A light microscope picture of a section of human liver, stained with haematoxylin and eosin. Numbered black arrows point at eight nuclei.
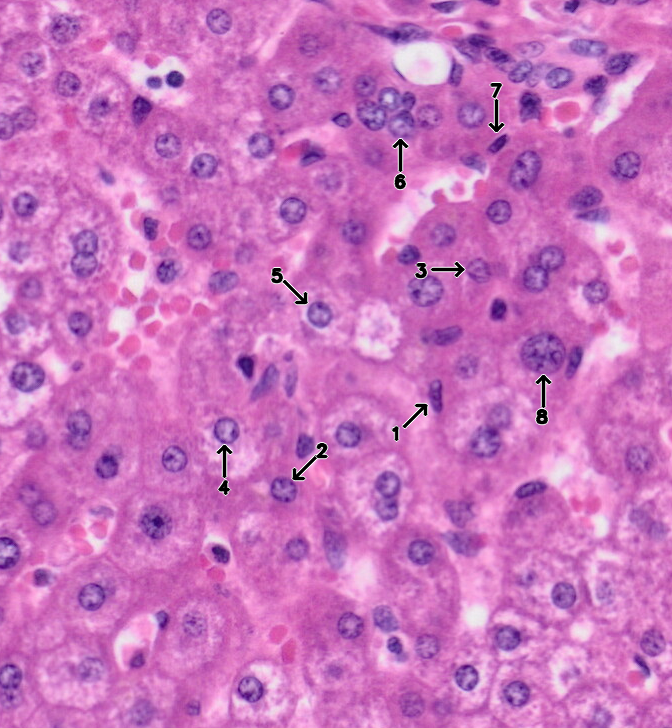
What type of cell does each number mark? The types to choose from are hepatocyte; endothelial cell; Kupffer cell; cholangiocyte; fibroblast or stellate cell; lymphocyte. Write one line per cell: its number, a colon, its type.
1: fibroblast or stellate cell
2: hepatocyte
3: hepatocyte
4: hepatocyte
5: hepatocyte
6: cholangiocyte
7: fibroblast or stellate cell
8: hepatocyte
